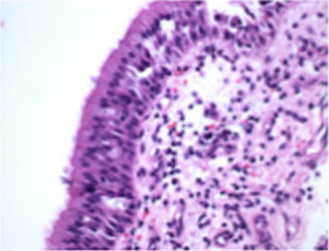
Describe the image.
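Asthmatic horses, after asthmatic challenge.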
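Bronchial biopsy with surface epithelium over a submucosa crowded with leukocytes. The epithelium forms a tall layer of closely packed, elongated nuclei and stains deep purple. Beneath it the pale pink connective tissue holds many small, dark, round nuclei scattered densely. A few small red blood cells lie in the stroma.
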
